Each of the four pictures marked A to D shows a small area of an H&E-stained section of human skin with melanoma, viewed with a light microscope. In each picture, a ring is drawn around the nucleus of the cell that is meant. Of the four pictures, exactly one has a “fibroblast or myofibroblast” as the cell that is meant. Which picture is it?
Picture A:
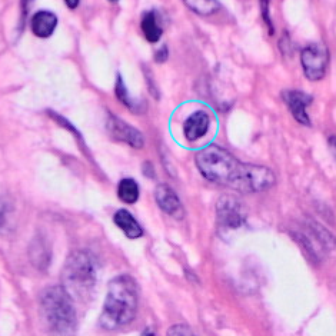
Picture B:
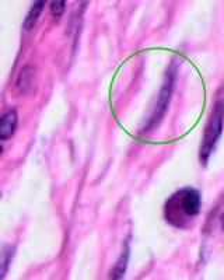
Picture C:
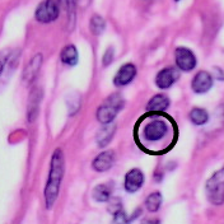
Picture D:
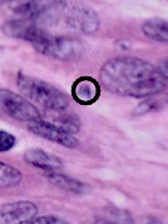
B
